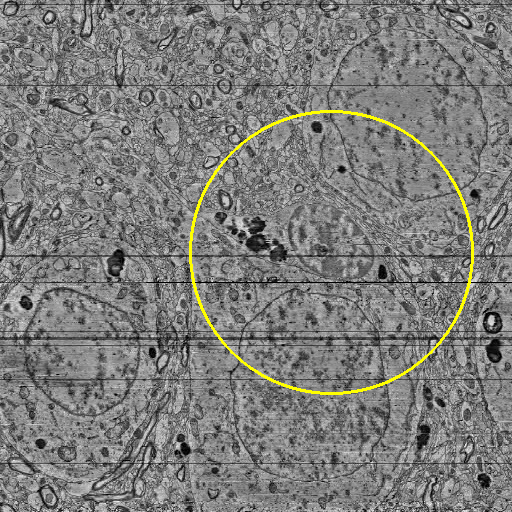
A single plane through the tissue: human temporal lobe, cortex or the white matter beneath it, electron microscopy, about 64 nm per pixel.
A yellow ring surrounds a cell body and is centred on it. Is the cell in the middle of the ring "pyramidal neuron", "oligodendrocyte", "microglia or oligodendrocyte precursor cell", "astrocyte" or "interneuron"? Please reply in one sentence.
The ring is centred on an oligodendrocyte.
